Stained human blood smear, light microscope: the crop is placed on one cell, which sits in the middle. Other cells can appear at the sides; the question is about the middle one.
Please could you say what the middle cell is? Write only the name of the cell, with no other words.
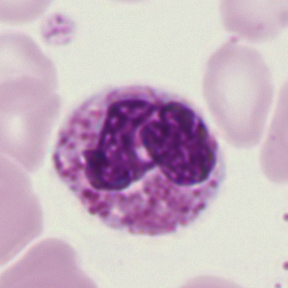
eosinophil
